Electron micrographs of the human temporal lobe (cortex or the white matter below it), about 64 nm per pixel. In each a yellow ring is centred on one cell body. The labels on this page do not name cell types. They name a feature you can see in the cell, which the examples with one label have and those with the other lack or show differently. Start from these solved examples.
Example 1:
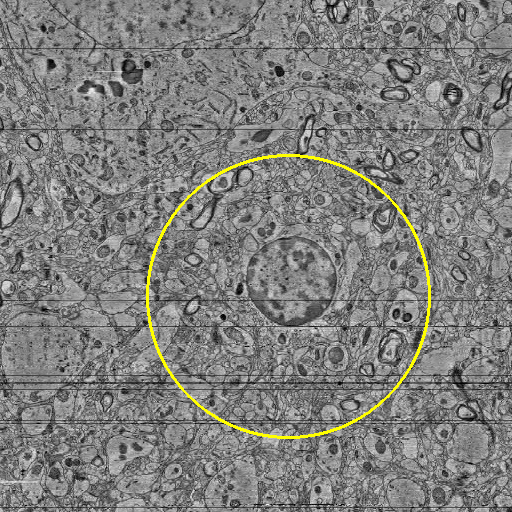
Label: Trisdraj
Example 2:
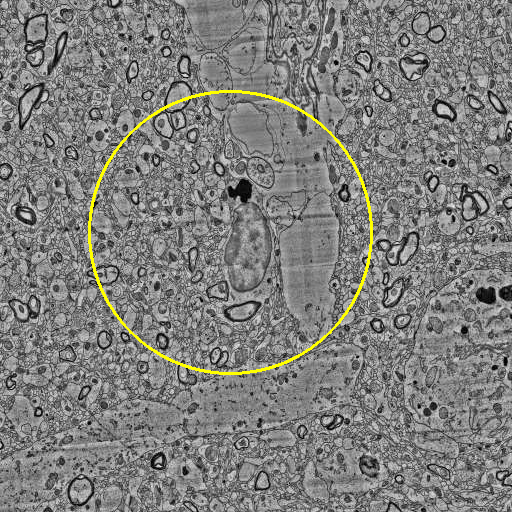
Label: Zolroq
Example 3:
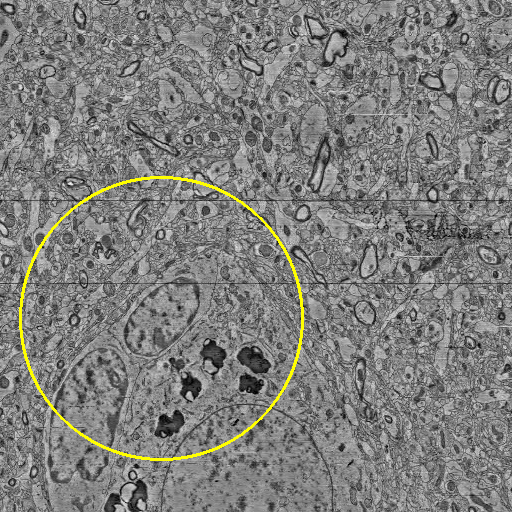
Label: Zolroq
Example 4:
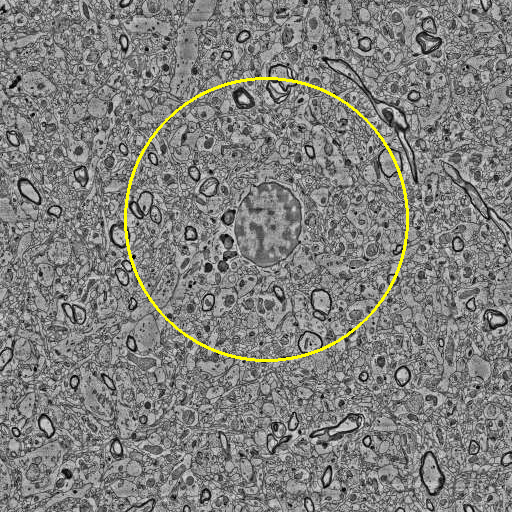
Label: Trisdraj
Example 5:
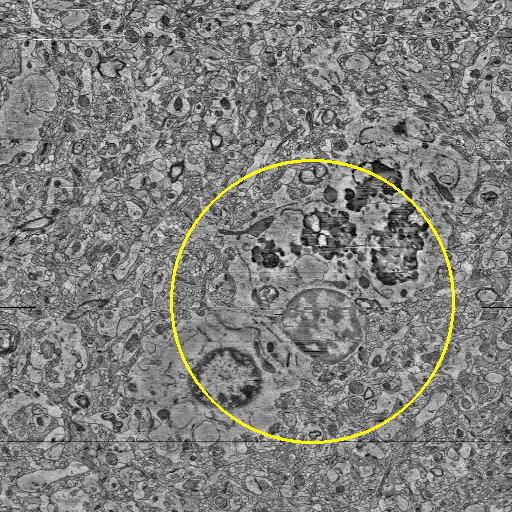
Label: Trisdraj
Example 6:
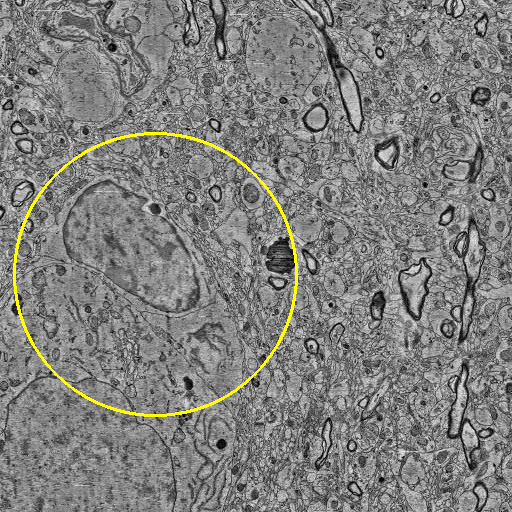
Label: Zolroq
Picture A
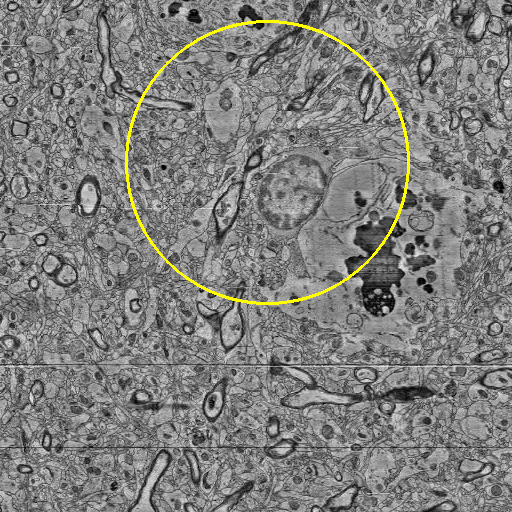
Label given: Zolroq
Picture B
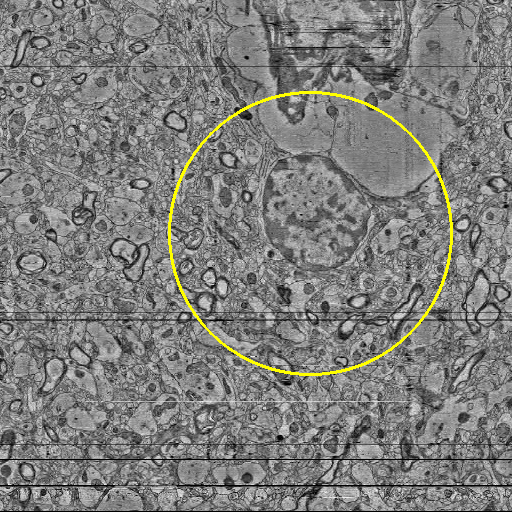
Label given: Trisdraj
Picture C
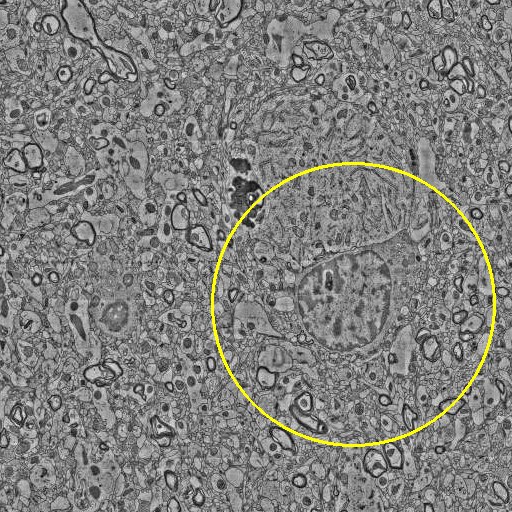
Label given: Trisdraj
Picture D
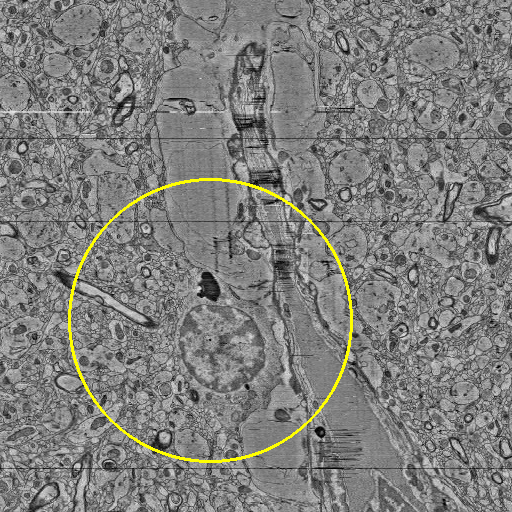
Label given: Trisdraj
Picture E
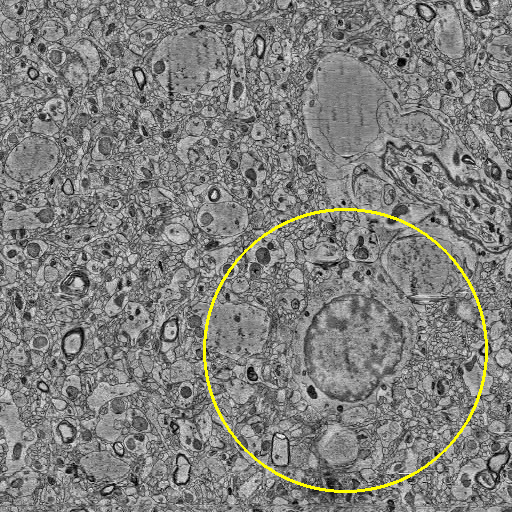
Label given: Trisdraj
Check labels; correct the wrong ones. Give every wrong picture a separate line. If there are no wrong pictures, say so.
A is labelled Zolroq; correct label: Trisdraj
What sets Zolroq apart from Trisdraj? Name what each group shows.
Zolroq: clearly elongated nuclei; Trisdraj: round or nearly round nuclei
